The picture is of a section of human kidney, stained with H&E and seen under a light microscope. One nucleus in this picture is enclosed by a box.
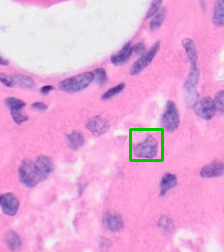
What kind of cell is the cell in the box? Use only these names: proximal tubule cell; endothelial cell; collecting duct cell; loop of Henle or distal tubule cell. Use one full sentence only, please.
With respect to cell type, the cell in the box is a loop of Henle or distal tubule cell.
